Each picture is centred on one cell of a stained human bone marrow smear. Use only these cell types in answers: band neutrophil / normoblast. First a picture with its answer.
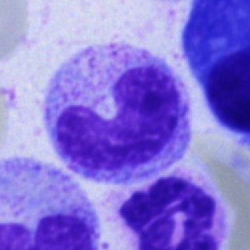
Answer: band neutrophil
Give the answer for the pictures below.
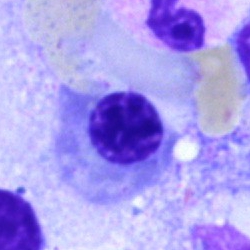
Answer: normoblast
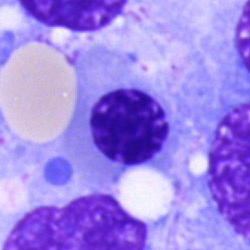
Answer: normoblast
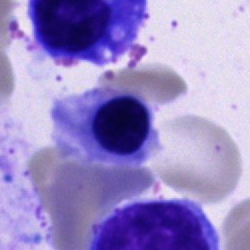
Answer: normoblast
